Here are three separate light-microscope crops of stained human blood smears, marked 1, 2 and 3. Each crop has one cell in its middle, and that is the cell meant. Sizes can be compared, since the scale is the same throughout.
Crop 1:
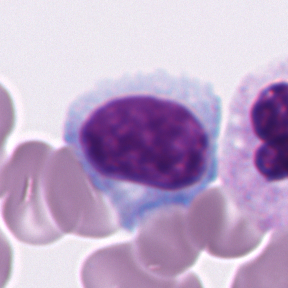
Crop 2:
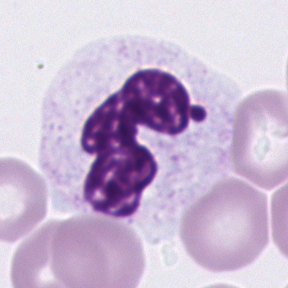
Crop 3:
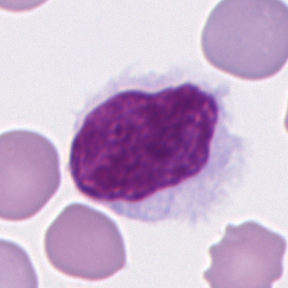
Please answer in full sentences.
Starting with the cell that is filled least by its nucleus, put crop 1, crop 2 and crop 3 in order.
From the least filled to the most, the order is 2, 1, 3.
